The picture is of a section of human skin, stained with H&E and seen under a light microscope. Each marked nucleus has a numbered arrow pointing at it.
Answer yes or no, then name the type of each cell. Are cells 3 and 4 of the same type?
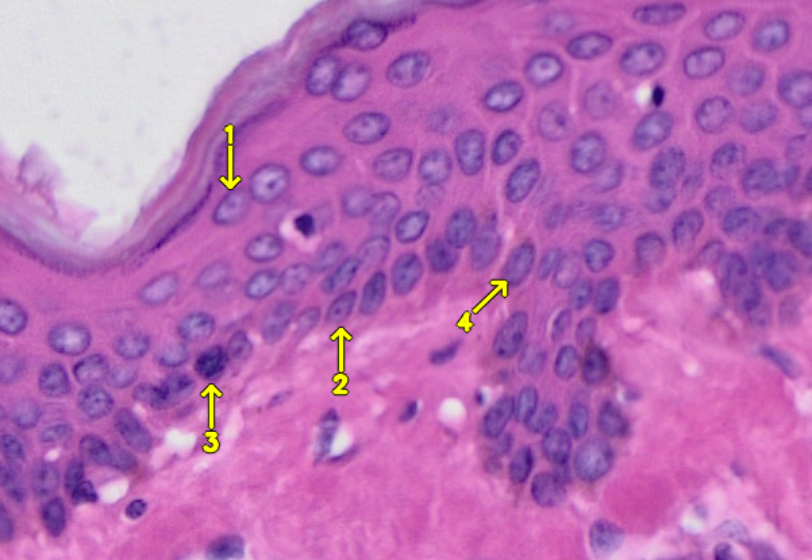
Yes, both are basal keratinocytes.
